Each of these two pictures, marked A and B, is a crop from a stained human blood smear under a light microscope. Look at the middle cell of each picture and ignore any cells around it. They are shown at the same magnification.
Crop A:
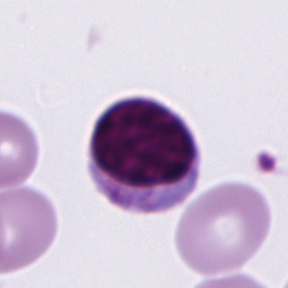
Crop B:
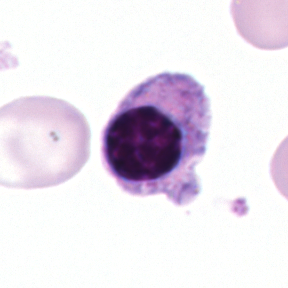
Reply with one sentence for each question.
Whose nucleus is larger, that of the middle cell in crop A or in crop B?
Crop A shows the larger nucleus; it covers about 1.5 times the area of the nucleus in crop B.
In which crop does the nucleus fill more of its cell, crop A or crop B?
The nucleus fills more of the cell in crop A than in crop B.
